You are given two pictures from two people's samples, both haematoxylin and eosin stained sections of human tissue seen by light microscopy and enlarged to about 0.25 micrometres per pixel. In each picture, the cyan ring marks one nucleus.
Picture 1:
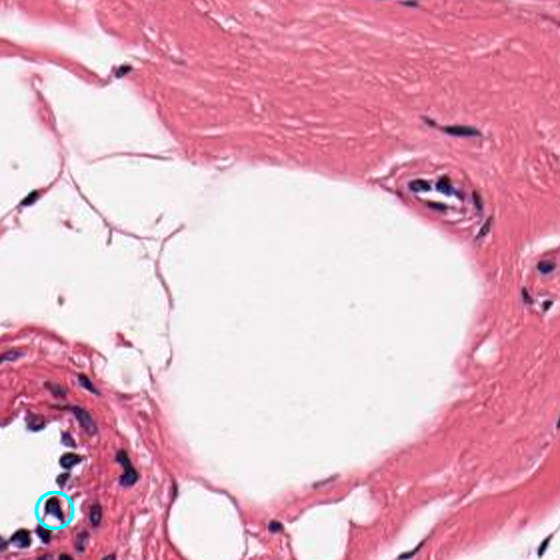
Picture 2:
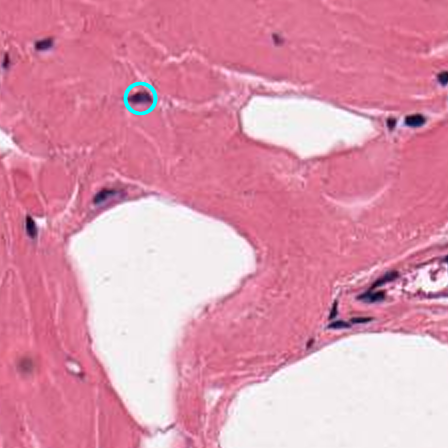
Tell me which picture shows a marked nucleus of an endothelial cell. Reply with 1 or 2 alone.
1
